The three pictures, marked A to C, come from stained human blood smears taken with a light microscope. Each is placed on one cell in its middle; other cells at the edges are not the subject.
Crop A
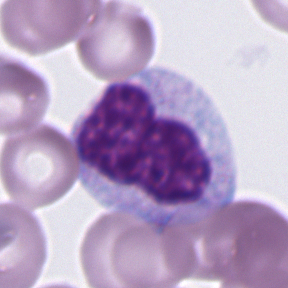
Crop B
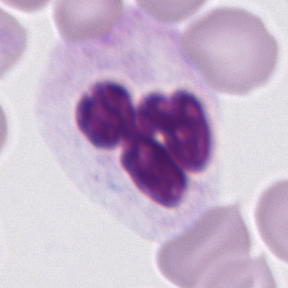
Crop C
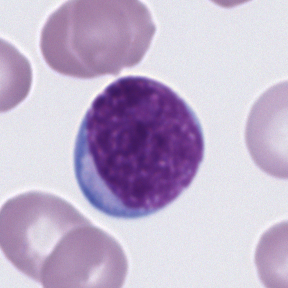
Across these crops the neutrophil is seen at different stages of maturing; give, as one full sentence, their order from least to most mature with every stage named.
Starting with the least mature and ending with the most mature, the order is crop C (a myeloblast), crop A (a band neutrophil) and crop B (a segmented neutrophil).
